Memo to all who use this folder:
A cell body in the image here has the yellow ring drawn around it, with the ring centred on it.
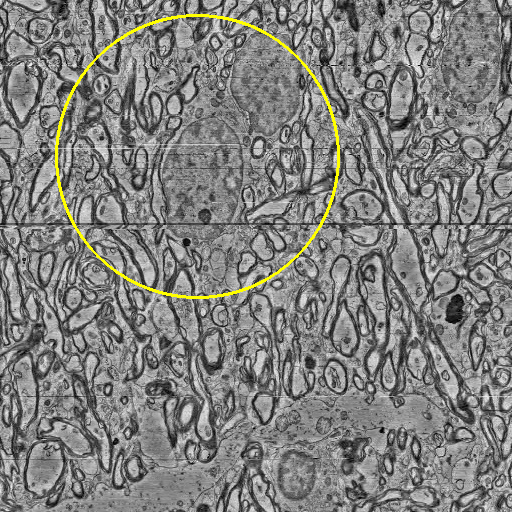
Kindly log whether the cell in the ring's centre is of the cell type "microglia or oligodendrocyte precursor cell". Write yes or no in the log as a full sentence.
No, logged: the ring in this image is centred on a cell of a different type.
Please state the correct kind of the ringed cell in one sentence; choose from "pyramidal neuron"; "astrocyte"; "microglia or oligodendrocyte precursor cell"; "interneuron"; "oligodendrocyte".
The cell that the ring is centred on is an oligodendrocyte.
